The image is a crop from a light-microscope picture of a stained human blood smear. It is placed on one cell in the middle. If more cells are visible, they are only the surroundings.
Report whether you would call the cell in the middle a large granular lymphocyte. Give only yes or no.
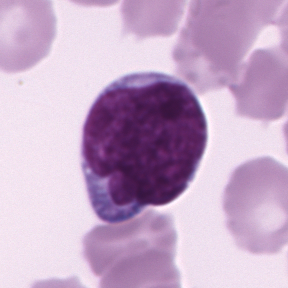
no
